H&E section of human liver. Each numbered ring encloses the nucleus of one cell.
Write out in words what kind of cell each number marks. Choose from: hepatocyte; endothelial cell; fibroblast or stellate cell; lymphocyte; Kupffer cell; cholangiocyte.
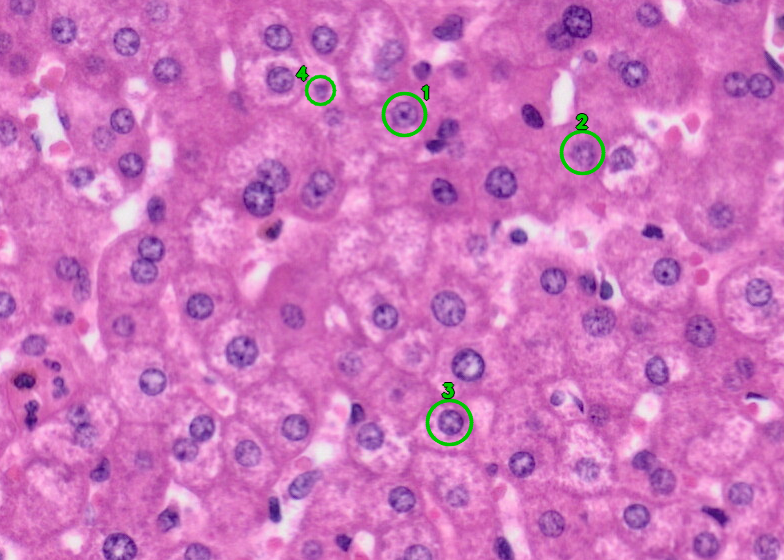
Cell 1 is a hepatocyte, cell 2 is a hepatocyte, cell 3 is a hepatocyte and cell 4 is a Kupffer cell.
